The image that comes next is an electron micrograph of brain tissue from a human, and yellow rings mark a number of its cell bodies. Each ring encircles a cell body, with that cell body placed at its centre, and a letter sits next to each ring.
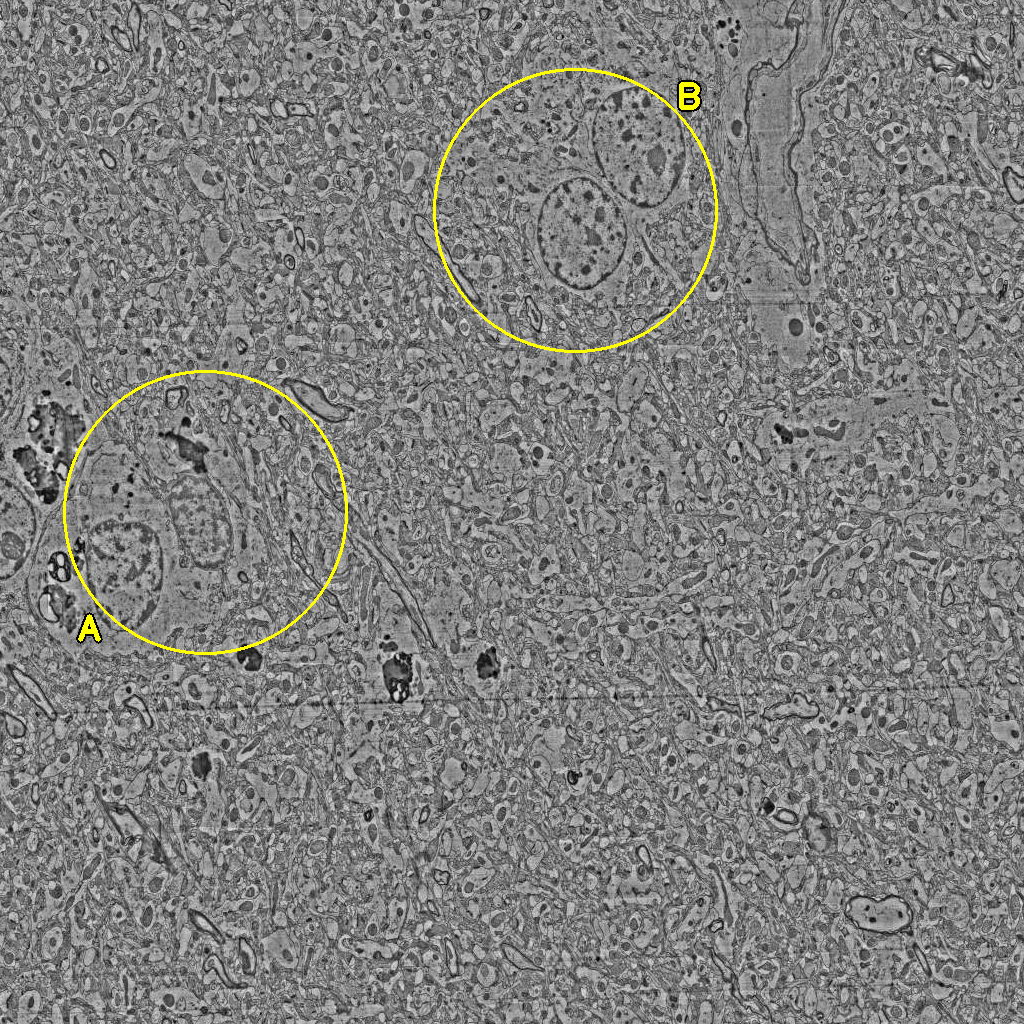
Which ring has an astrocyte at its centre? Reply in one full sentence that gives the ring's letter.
In the image, ring B has the cell the question asks for at its centre.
